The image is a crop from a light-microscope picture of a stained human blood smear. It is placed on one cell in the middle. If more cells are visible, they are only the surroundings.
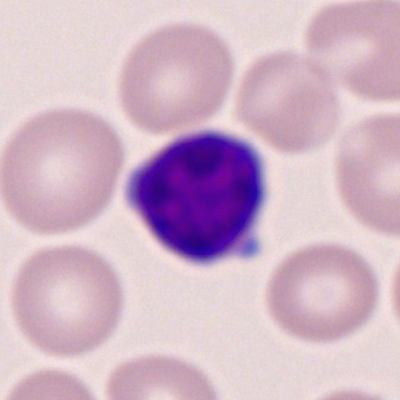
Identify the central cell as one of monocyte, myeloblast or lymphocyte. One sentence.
The single cell at the center of the crop is a lymphocyte.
